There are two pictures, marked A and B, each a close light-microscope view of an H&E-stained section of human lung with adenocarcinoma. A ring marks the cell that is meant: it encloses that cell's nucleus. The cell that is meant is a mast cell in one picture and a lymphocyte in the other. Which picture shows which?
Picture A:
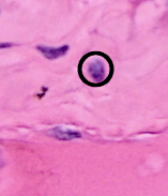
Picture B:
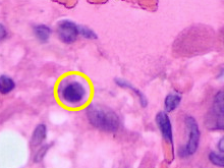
A: mast cell
B: lymphocyte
